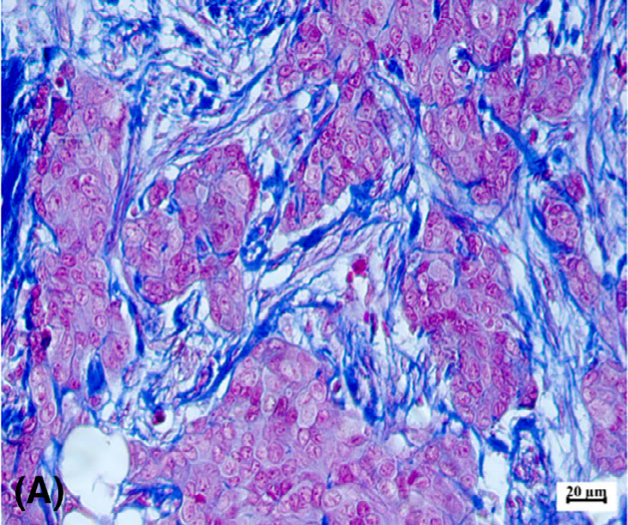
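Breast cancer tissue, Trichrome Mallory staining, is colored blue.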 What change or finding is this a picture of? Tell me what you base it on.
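Most of the field is taken up by magenta nests of closely packed cells.
Conclusion: tumor tissue with a low content of fibrillary stroma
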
